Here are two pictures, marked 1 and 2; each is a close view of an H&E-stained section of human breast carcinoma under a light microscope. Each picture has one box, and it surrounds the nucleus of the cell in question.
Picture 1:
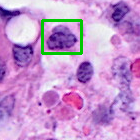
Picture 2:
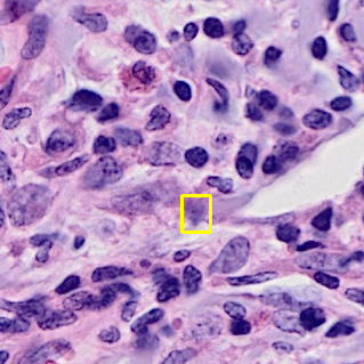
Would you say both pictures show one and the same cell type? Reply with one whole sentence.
Yes, both cells are “macrophages, monocytes or dendritic cells”.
